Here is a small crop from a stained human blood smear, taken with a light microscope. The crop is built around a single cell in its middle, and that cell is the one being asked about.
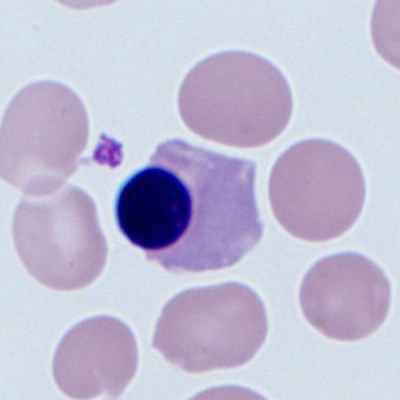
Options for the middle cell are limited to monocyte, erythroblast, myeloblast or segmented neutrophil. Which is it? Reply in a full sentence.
To answer, the cell in the center of the crop is an erythroblast.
